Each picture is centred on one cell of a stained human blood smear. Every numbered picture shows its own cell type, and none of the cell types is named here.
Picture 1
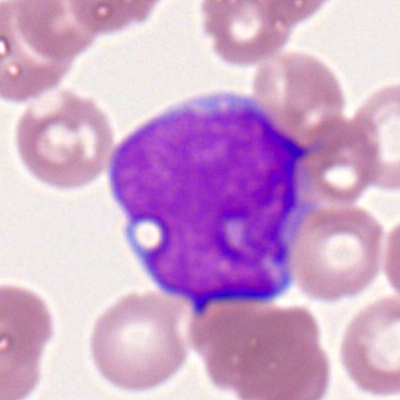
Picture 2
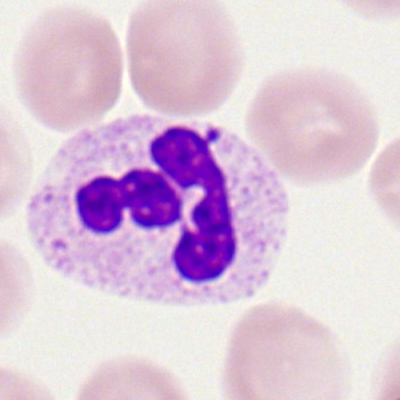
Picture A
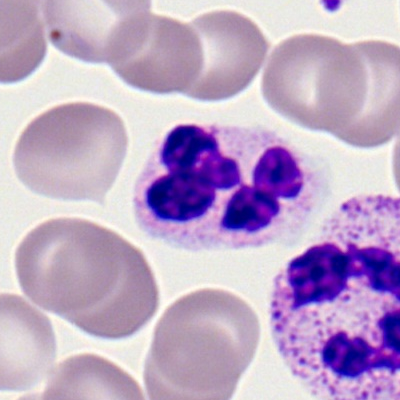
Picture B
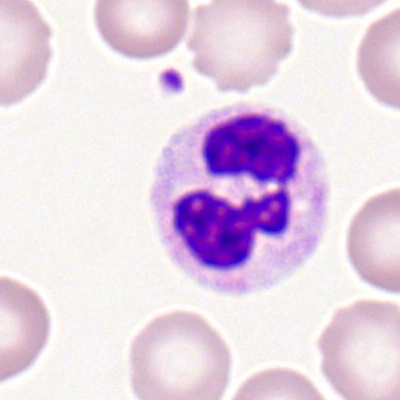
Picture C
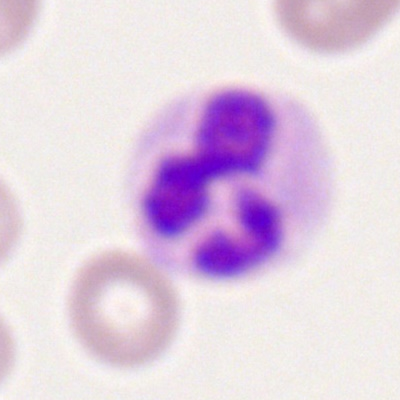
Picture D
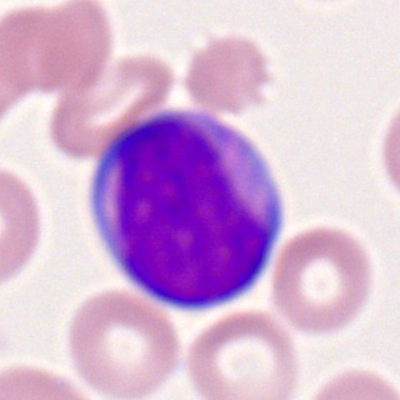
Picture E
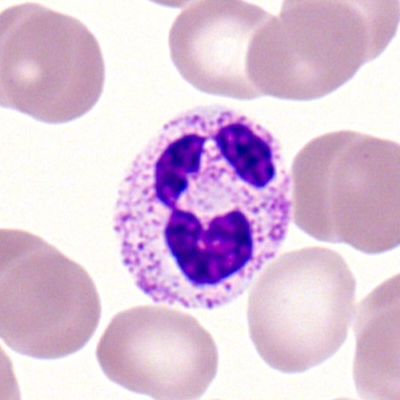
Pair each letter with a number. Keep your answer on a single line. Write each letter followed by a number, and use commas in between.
A 2, B 2, C 2, D 1, E 2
